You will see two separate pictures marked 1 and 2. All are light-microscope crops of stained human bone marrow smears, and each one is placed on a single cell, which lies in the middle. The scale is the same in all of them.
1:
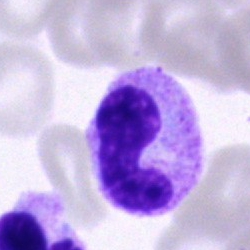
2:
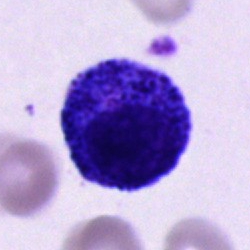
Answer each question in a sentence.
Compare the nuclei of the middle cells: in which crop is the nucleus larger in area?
It is the nucleus in picture 2, about 2 times as large in area as the one in picture 1.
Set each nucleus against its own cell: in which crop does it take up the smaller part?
The nucleus fills less of the cell in picture 1 than in picture 2.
